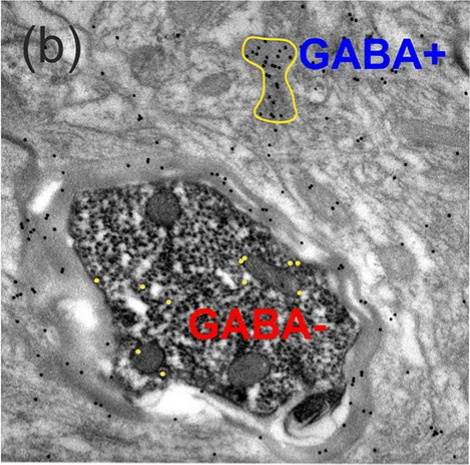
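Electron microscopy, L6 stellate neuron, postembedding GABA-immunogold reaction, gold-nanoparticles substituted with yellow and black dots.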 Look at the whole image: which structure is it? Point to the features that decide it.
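A large central profile filled with dark granular deposit. It contains several mitochondria.
Hence: myelinated axon.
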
